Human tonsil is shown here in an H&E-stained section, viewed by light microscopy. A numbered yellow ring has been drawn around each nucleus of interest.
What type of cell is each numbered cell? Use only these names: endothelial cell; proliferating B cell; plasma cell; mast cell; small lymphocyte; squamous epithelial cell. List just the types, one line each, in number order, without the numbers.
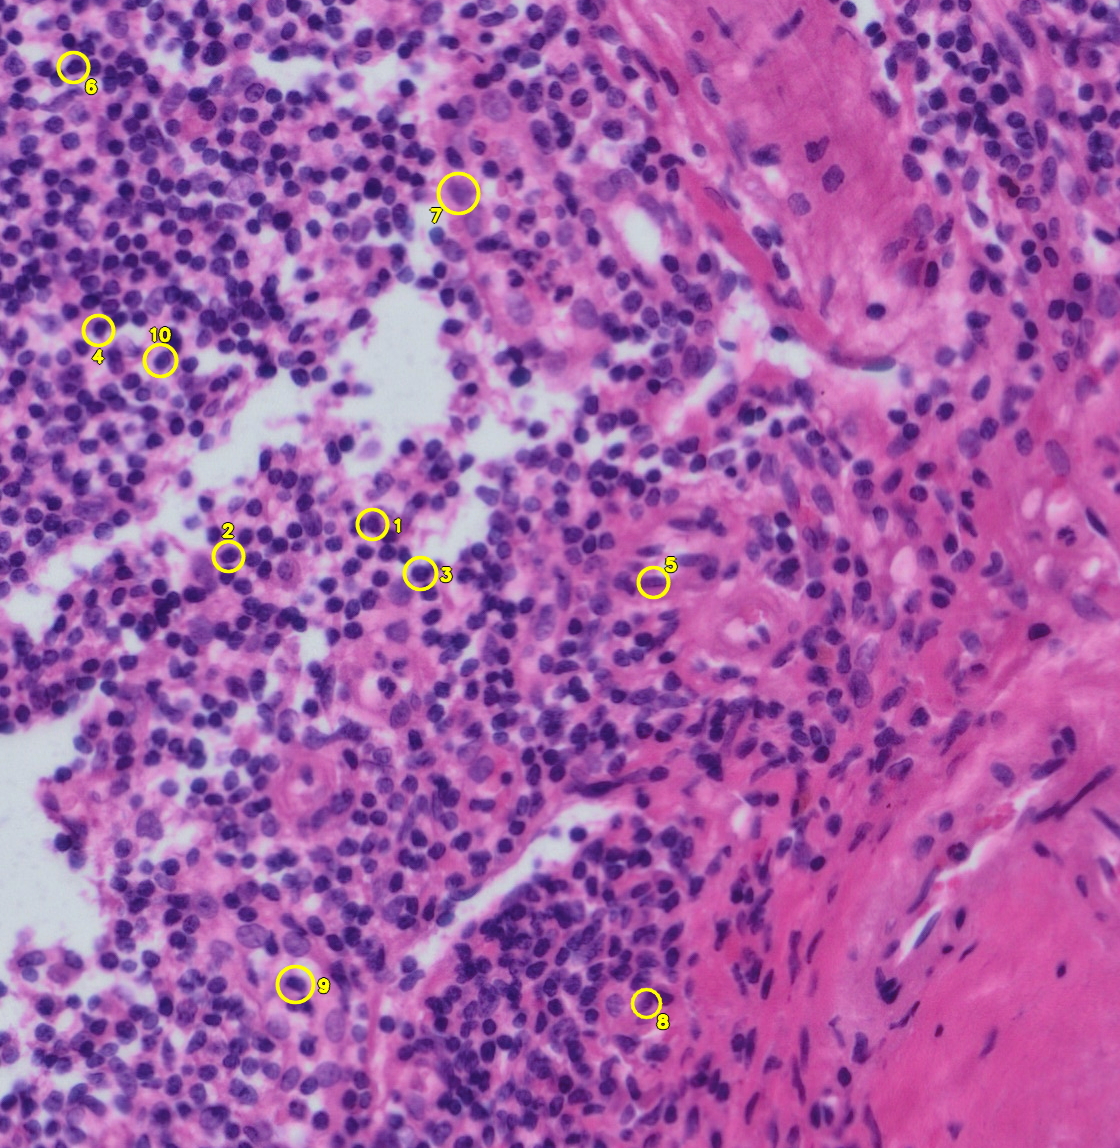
small lymphocyte
small lymphocyte
small lymphocyte
small lymphocyte
endothelial cell
small lymphocyte
endothelial cell
endothelial cell
endothelial cell
small lymphocyte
